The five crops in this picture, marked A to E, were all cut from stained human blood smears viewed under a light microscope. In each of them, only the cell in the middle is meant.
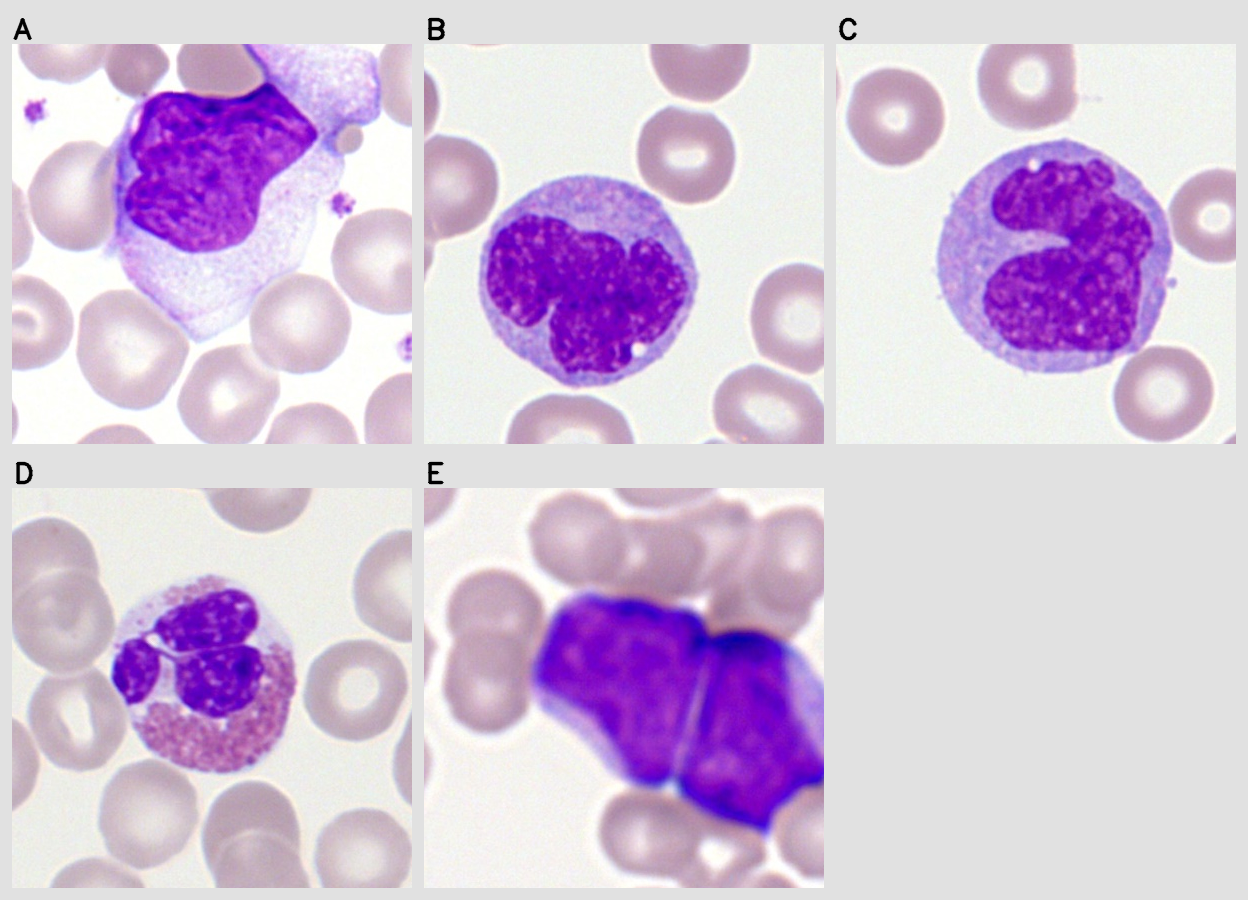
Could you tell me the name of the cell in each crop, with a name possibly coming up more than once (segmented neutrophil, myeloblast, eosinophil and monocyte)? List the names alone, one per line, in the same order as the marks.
monocyte
monocyte
monocyte
eosinophil
myeloblast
